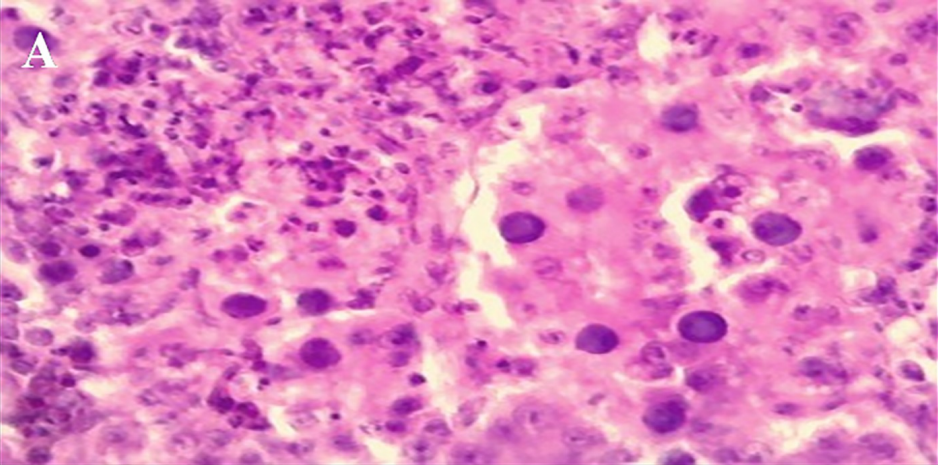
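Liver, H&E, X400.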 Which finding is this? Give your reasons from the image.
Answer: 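Basophilic intra-nuclear inclusion bodies. Several hepatocyte nuclei are enlarged and round. These nuclei are filled with dense, homogeneous dark purple material.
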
